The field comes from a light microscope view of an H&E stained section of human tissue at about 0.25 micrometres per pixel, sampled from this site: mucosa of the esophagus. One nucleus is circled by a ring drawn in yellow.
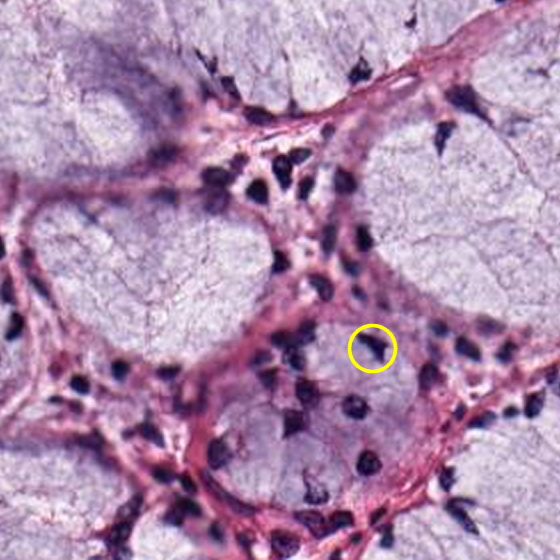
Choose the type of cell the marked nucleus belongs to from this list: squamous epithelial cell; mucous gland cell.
mucous gland cell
